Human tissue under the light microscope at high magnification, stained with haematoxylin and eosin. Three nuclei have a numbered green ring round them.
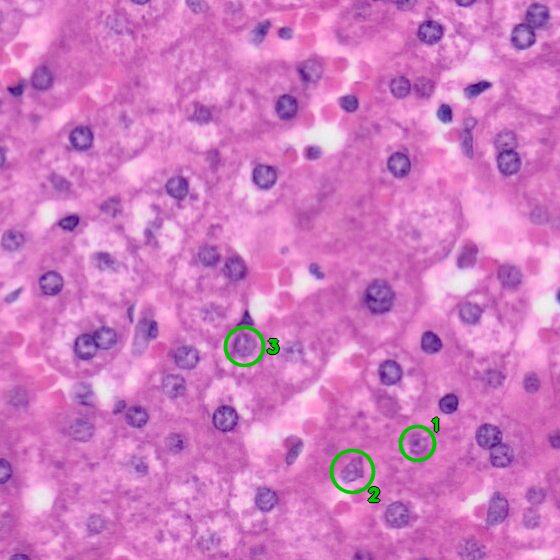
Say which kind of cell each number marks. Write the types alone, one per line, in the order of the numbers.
hepatocyte
endothelial cell
hepatocyte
